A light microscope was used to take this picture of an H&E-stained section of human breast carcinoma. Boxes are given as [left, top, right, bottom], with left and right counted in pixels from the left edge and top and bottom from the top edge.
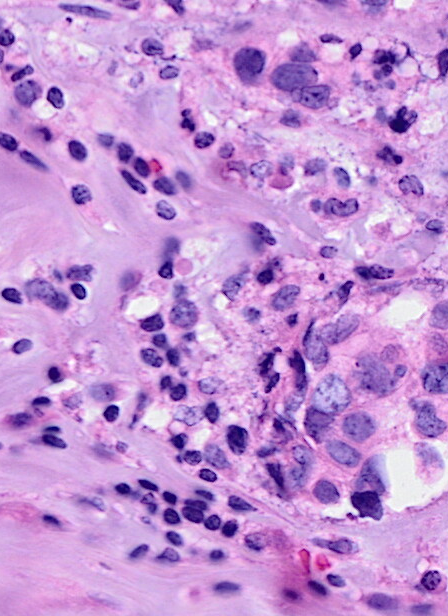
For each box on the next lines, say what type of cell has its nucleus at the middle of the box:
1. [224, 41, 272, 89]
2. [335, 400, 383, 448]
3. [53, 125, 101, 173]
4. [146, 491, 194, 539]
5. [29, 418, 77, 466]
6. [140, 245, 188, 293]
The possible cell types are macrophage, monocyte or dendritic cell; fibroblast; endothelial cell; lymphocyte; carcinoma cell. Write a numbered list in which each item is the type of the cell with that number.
1. carcinoma cell
2. carcinoma cell
3. lymphocyte
4. lymphocyte
5. lymphocyte
6. lymphocyte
